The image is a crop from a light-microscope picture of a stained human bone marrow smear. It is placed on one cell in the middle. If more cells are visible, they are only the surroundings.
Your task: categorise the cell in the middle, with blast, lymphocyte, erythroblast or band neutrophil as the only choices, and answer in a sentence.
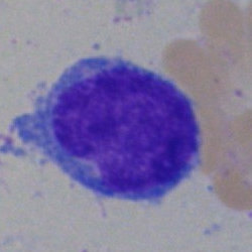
Positioned in the middle of the crop is a blast.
